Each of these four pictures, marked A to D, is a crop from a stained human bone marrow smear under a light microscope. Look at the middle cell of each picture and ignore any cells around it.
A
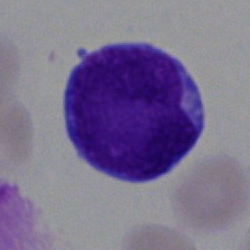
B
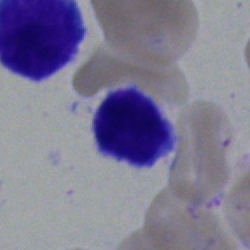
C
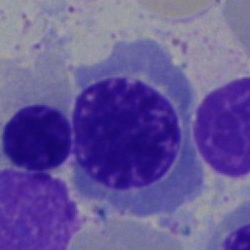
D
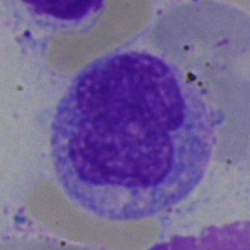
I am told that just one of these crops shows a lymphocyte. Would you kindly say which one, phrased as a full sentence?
Of the crops shown, crop B depicts a lymphocyte.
